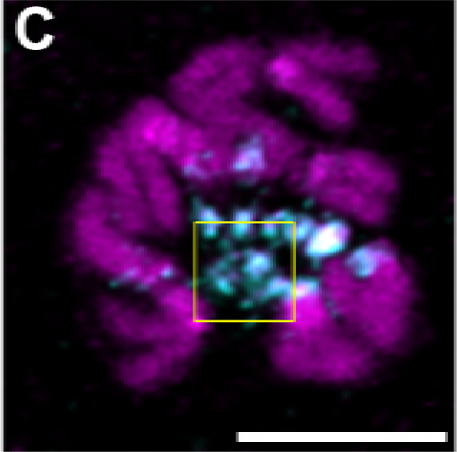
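The arms lie around the edge while their inner ends crowd together in the centre of the spread. Bright cyan blocks sit on these central portions, and fine cyan strands run between neighbouring chromosomes, tying them together in the middle.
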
